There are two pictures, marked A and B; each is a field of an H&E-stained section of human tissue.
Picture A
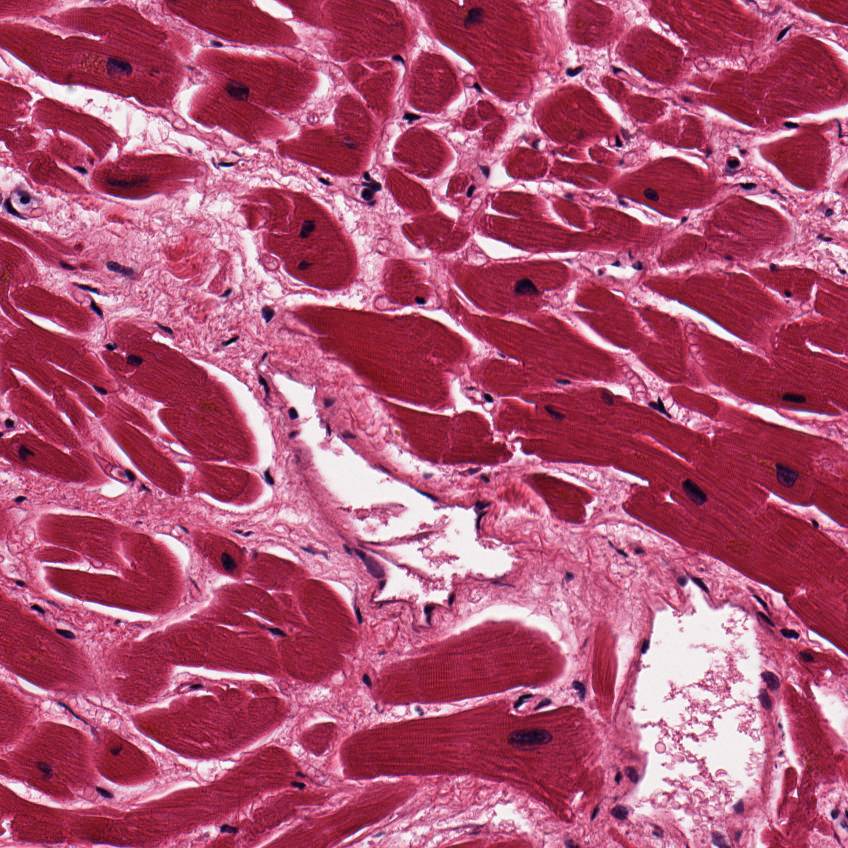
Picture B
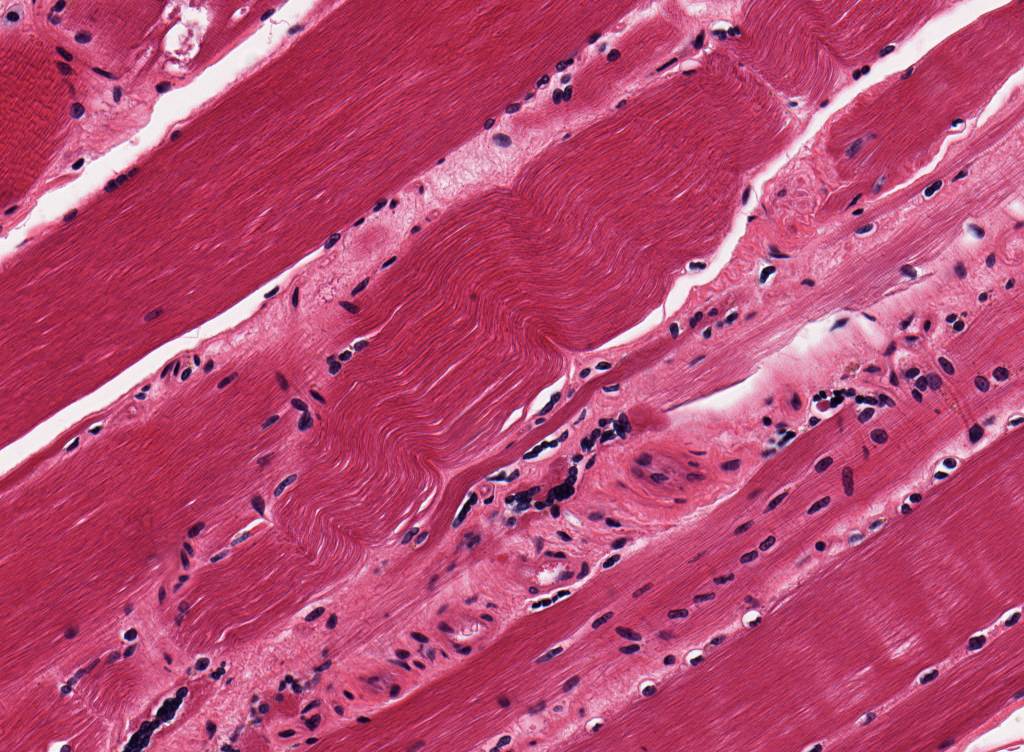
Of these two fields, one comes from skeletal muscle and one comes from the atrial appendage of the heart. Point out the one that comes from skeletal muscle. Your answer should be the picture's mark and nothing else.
B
